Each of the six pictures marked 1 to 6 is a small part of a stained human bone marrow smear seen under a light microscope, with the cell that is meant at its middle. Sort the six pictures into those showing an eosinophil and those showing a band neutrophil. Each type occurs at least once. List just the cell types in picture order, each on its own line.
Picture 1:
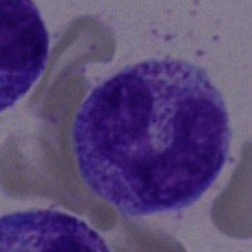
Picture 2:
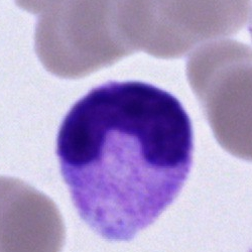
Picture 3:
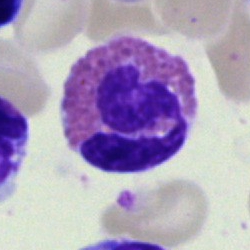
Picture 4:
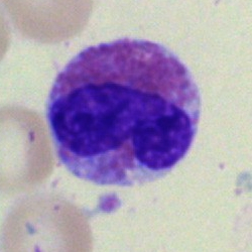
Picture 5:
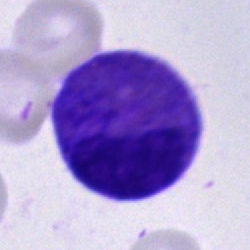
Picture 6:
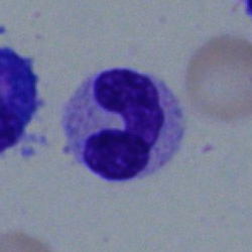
band neutrophil
band neutrophil
eosinophil
eosinophil
eosinophil
band neutrophil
